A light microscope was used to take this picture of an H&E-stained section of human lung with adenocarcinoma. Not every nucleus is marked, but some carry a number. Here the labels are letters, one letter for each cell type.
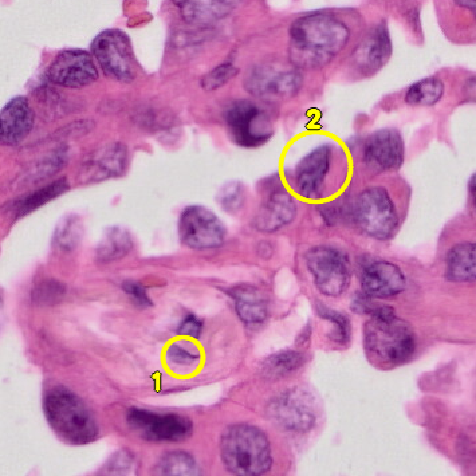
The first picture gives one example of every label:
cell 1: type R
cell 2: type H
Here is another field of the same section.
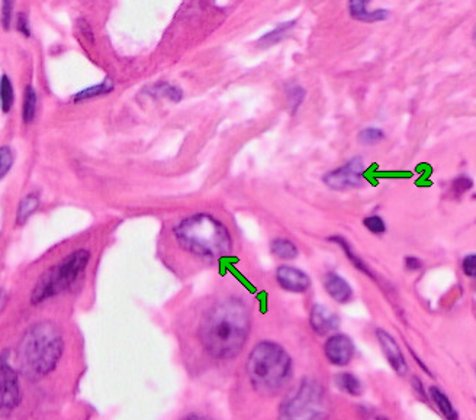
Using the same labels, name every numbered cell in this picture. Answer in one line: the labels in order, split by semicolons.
type H; type R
